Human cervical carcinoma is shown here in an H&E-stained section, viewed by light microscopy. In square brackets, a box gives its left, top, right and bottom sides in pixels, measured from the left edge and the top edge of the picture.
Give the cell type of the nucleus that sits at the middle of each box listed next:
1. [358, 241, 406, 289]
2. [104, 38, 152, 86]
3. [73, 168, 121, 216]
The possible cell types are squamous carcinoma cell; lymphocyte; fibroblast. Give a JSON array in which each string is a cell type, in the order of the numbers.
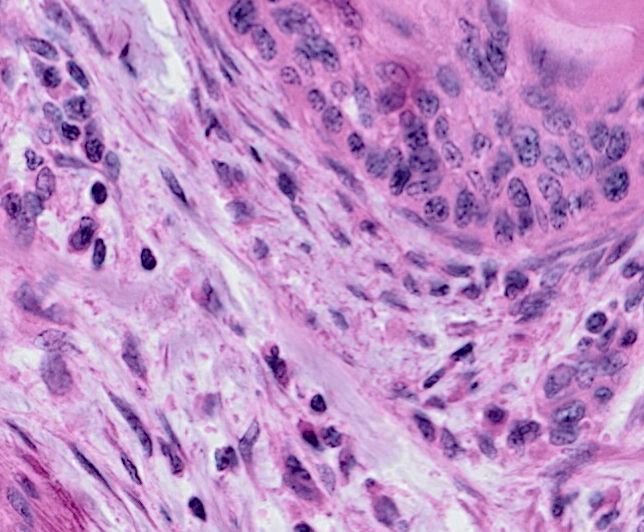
["fibroblast", "fibroblast", "lymphocyte"]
